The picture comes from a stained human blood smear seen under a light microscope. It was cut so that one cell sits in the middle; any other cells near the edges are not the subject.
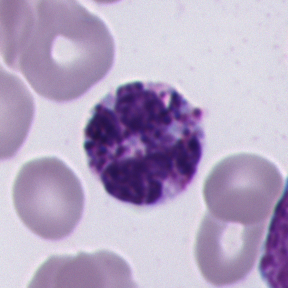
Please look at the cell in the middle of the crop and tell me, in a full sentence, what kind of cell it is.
The cell of interest, located centrally, is a basophil.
